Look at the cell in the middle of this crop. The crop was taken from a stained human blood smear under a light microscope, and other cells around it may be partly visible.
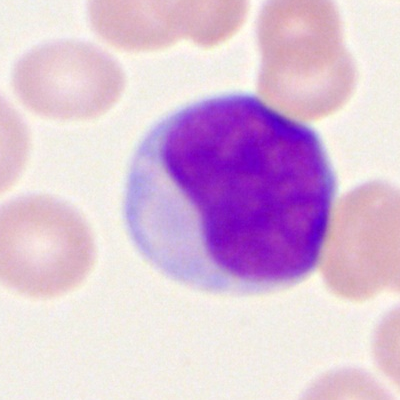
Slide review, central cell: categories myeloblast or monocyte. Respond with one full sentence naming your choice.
Centrally within this crop lies a myeloblast.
